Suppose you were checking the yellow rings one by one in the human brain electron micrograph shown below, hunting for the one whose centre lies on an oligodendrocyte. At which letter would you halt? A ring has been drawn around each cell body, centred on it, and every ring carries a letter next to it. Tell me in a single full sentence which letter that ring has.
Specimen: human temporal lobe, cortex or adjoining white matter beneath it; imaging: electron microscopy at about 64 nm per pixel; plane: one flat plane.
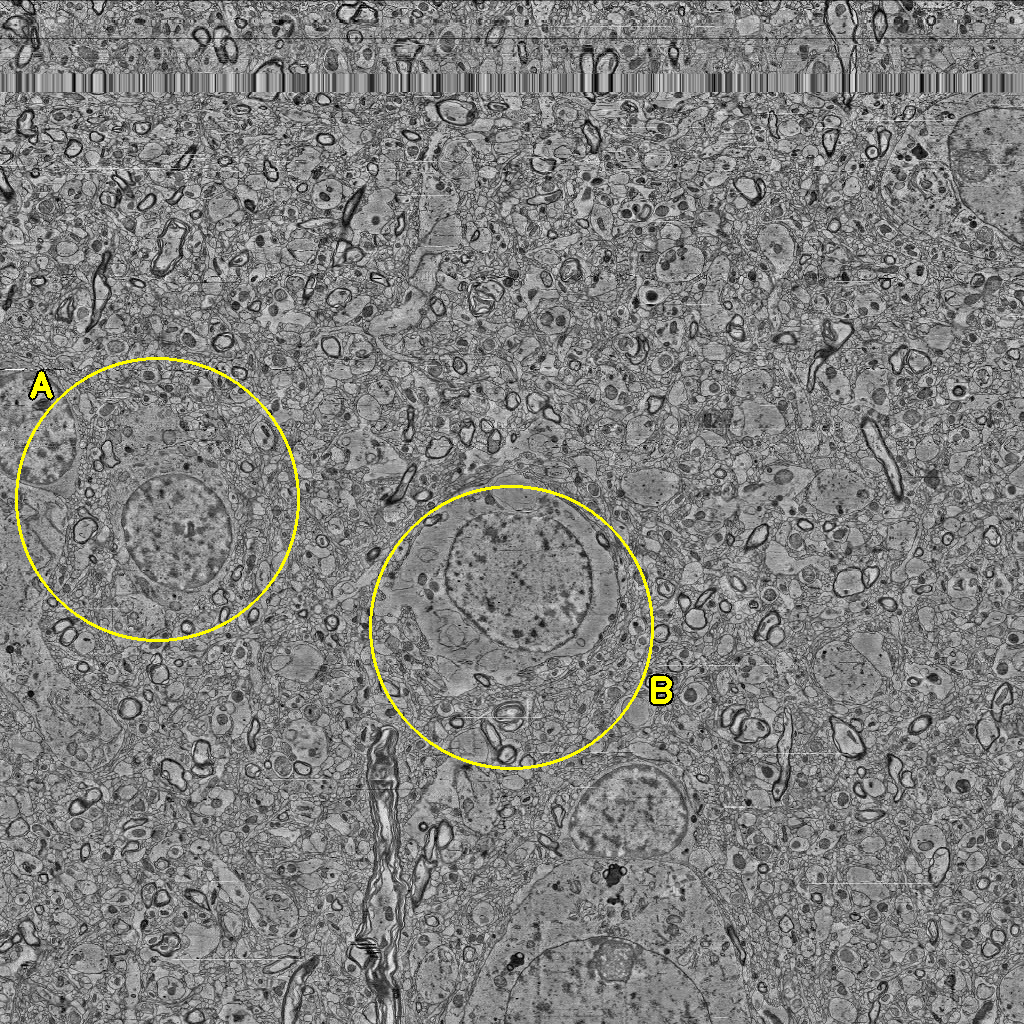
Going through the rings, I would stop at ring A, the one centred on the cell asked for.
